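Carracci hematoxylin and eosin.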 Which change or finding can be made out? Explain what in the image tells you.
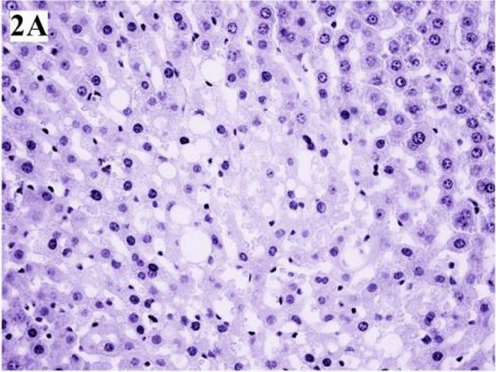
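Scattered clear round empty vacuoles between the liver cells. Some vacuoles are larger than a liver cell. So: Accumulation of fat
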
